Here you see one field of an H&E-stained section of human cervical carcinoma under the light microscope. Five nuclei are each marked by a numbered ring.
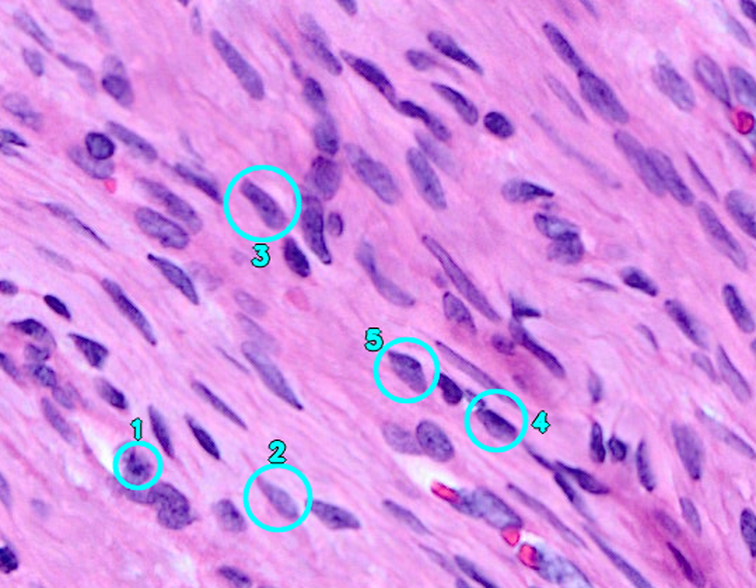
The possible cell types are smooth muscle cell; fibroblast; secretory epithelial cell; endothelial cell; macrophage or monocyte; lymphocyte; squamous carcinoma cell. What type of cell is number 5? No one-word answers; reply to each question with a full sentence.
As for number 5, that cell is a fibroblast.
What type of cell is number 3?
The numeral 3 marks a fibroblast in this section.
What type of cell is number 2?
As for number 2, that cell is a smooth muscle cell.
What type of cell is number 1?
The marked nucleus 1 is that of an endothelial cell.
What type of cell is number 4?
Classified as a fibroblast is the cell with the number 4.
